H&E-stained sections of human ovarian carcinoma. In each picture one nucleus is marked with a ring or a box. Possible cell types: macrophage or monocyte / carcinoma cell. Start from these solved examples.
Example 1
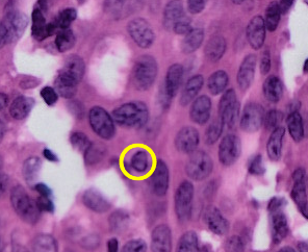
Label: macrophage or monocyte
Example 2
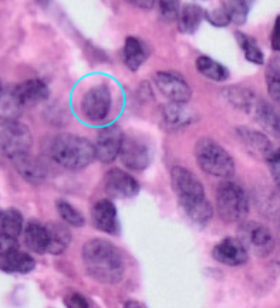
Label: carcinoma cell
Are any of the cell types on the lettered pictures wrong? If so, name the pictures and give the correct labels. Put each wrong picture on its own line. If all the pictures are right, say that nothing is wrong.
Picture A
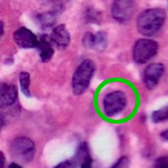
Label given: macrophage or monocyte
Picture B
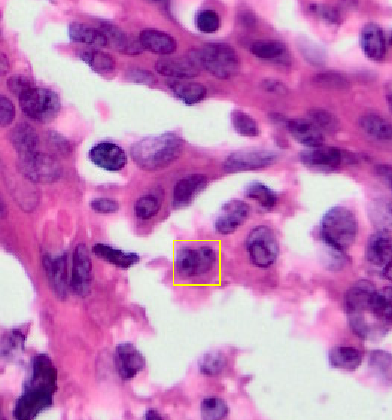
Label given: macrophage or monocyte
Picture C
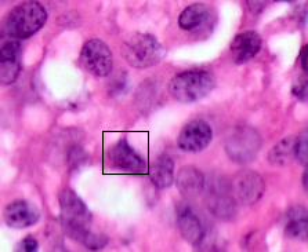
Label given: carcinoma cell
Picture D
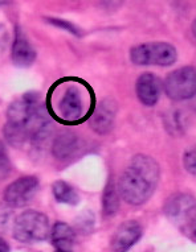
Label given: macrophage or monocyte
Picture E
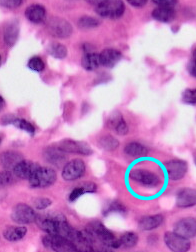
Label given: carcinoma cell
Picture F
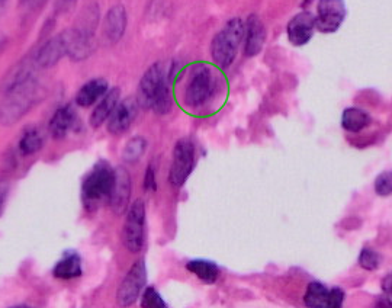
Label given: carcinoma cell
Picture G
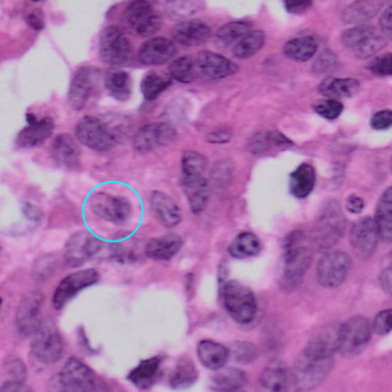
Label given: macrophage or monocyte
None of the labels needs changing.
